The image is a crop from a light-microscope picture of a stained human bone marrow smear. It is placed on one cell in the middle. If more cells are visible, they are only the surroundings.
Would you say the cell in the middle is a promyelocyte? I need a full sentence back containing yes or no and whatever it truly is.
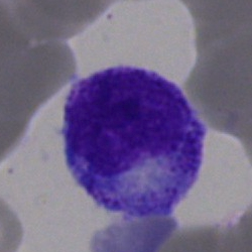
Yes, the identity of the central cell is that of a promyelocyte.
